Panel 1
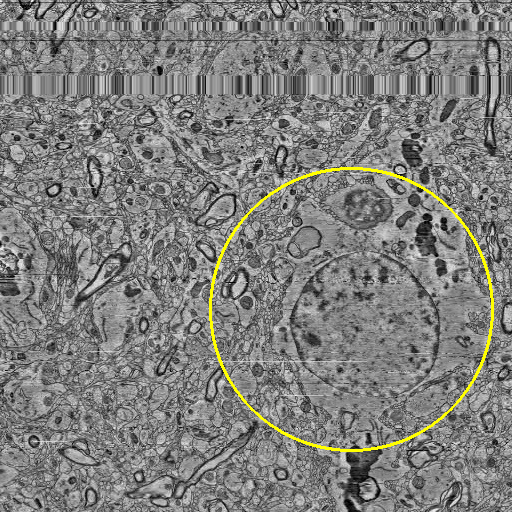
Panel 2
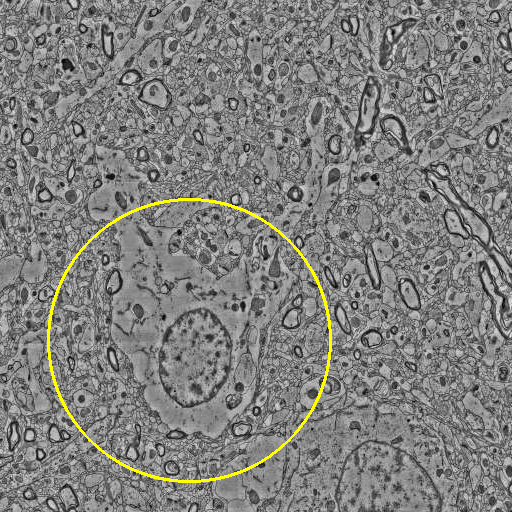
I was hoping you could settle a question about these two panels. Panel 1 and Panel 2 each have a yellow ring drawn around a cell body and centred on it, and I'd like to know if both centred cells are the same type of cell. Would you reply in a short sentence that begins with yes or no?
Yes, both are the same type of cell.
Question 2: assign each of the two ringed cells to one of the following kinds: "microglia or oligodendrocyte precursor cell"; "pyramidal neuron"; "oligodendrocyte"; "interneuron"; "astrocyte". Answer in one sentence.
Each cell, in the first picture and the second, is an astrocyte.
